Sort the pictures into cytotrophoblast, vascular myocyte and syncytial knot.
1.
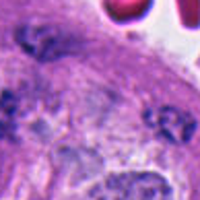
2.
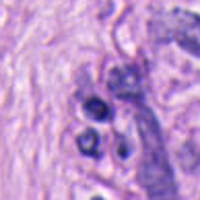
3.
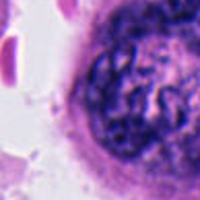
Cytotrophoblasts: 1
Vascular myocytes: 2
Syncytial knots: 3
